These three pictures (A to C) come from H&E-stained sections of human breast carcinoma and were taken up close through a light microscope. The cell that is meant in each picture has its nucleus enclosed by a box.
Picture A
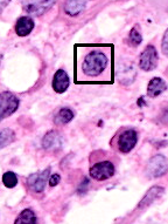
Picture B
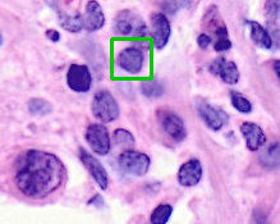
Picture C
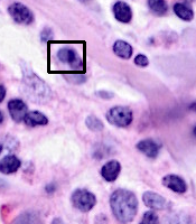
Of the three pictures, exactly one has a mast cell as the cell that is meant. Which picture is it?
A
